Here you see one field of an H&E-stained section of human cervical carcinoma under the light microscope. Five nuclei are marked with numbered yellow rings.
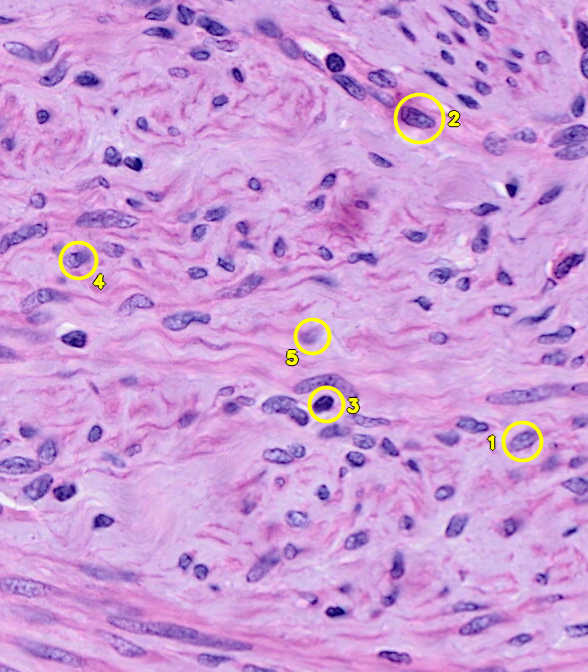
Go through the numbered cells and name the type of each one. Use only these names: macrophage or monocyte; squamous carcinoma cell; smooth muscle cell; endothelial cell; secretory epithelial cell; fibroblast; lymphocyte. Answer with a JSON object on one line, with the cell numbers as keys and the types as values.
{"1": "smooth muscle cell", "2": "endothelial cell", "3": "lymphocyte", "4": "smooth muscle cell", "5": "smooth muscle cell"}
